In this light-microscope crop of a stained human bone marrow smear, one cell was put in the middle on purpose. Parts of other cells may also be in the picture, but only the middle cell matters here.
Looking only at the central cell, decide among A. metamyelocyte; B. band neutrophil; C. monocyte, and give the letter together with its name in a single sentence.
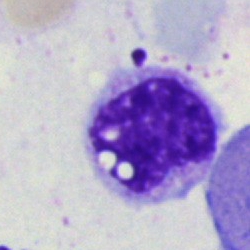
What option A states is correct, the central cell being a metamyelocyte.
